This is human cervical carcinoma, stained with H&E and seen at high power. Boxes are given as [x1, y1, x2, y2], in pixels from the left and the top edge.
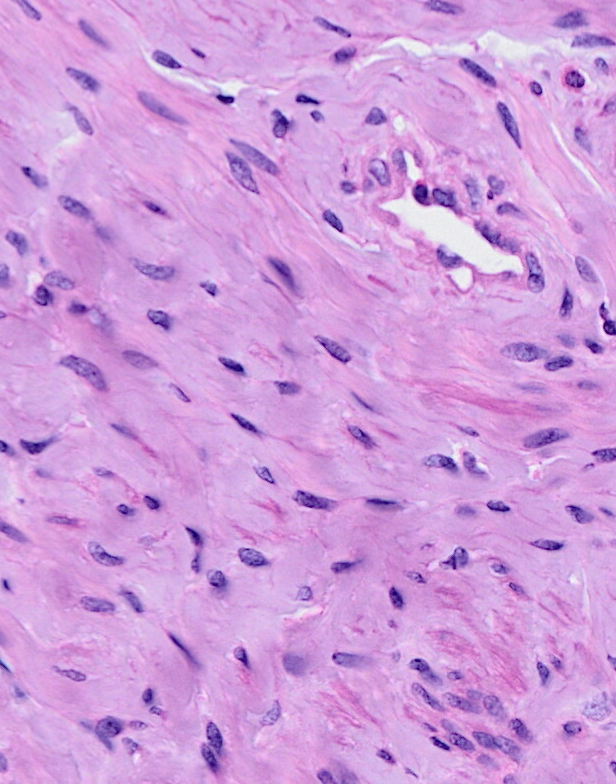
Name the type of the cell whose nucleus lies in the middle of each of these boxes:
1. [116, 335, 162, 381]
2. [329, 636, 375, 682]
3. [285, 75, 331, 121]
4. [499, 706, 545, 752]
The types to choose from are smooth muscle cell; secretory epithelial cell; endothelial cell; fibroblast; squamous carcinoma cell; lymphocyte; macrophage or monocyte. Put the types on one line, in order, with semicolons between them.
fibroblast; fibroblast; fibroblast; smooth muscle cell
